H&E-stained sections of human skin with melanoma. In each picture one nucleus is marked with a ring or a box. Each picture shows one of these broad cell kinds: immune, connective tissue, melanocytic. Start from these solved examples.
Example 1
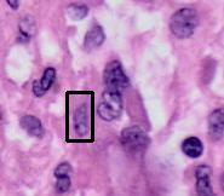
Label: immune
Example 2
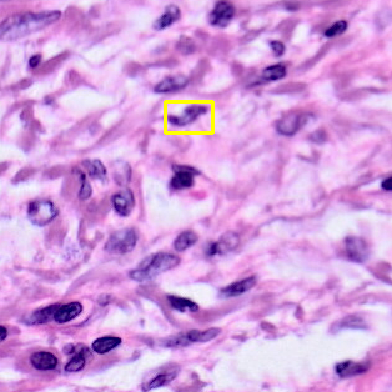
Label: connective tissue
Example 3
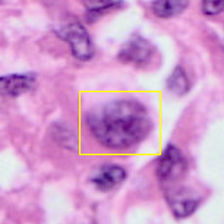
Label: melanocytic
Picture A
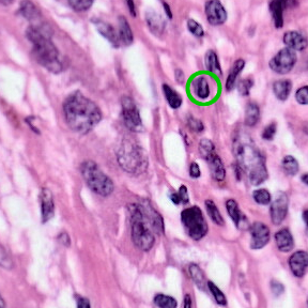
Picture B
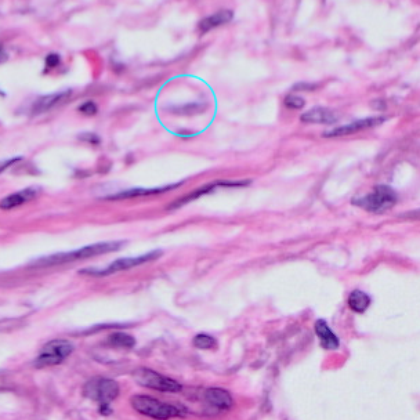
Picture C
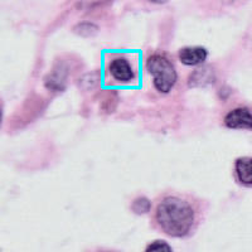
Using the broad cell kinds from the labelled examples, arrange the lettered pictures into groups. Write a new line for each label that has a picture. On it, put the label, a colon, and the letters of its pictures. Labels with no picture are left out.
immune: A, C
connective tissue: B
